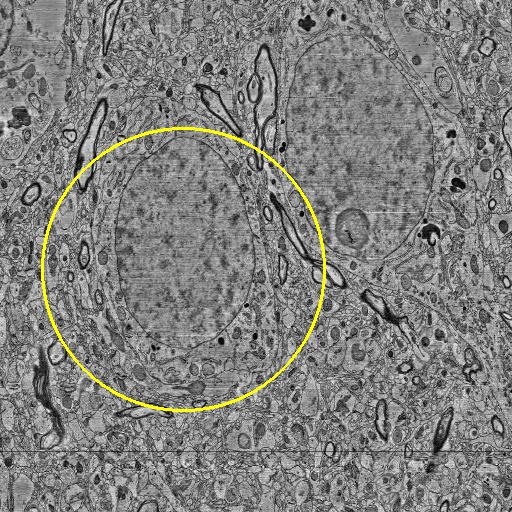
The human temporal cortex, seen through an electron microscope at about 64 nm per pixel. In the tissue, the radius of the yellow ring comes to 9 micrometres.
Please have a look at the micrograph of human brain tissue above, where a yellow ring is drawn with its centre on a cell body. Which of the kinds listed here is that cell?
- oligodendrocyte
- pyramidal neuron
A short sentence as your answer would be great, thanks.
At the centre of the ring sits a pyramidal neuron.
